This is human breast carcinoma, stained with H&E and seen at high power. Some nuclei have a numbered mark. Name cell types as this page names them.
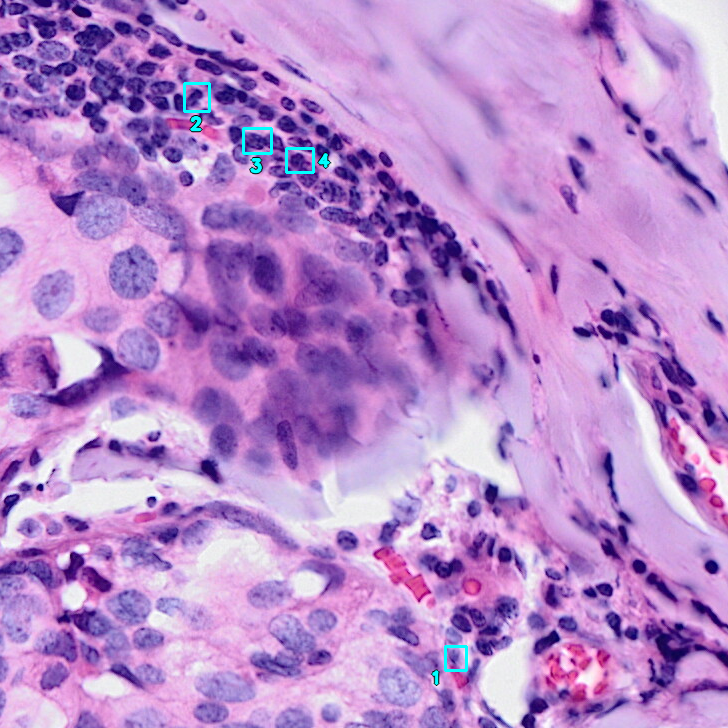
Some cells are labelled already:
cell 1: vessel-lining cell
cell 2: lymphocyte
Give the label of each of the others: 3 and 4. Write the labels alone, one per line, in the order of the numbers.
lymphocyte
lymphocyte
